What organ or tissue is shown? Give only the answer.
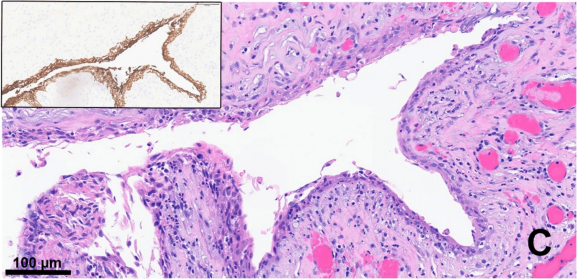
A: Keratinized squamous epithelial lining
